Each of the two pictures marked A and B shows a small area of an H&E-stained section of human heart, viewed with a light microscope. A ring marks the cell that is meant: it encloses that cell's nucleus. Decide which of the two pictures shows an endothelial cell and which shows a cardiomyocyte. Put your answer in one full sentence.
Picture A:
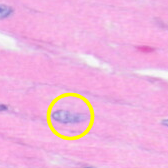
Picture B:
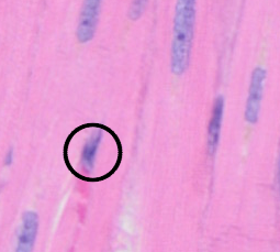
The cell in picture A is a cardiomyocyte, and the one in picture B is an endothelial cell.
